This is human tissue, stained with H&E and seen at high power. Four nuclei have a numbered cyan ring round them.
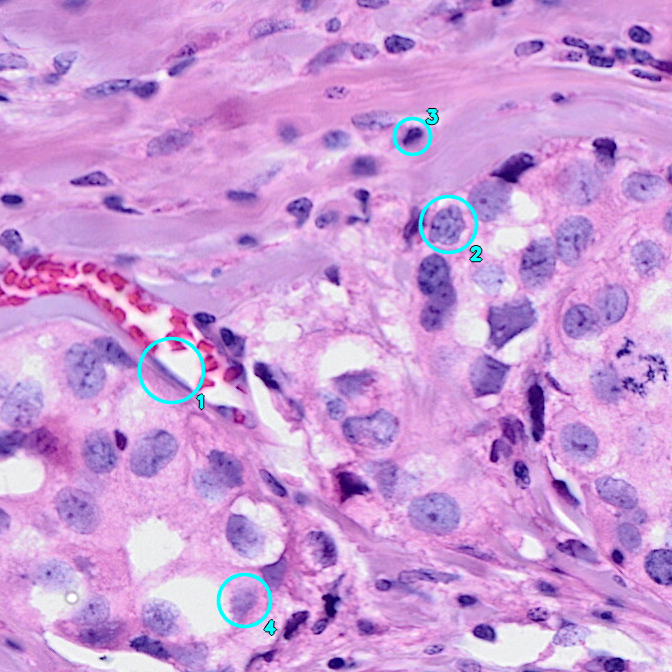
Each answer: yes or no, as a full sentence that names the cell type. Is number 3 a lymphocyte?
Yes, the cell marked by the number 3 is a lymphocyte.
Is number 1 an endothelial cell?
Yes, the marked cell number 1 is an endothelial cell.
